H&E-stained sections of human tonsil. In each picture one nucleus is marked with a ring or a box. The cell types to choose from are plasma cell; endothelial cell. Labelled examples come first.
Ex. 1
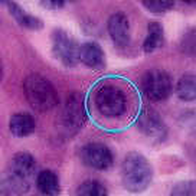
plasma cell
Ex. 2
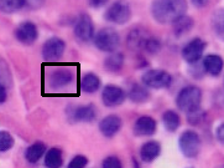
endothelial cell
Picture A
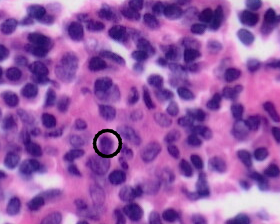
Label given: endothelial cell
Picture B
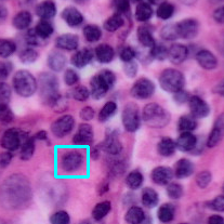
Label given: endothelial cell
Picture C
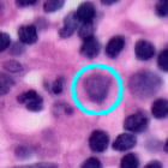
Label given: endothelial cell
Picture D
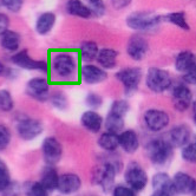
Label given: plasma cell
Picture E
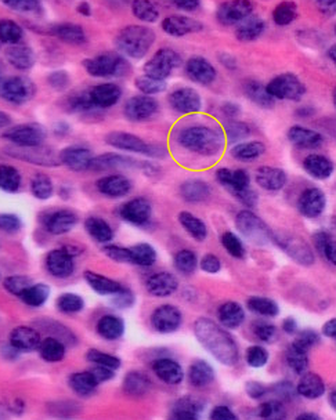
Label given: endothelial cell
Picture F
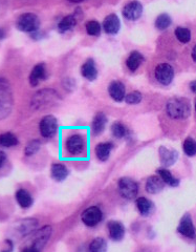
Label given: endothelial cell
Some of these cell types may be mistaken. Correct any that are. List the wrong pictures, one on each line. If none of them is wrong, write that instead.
F should be plasma cell, not endothelial cell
